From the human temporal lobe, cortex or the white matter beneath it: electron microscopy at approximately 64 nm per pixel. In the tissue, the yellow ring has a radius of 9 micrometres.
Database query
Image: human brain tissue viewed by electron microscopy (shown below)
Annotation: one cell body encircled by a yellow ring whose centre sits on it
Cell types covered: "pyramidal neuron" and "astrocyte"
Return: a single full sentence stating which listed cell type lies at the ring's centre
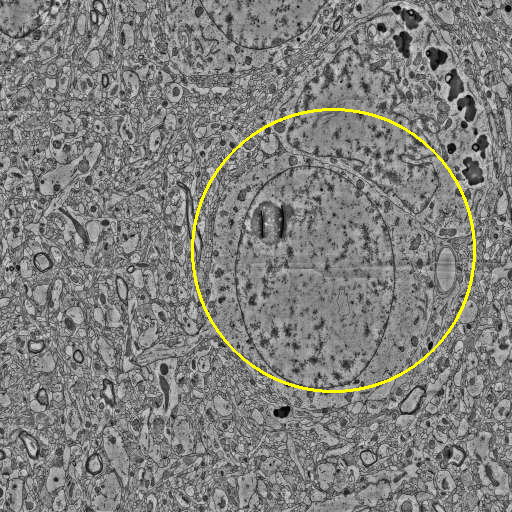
In the image, the cell lying at the ring's centre is a pyramidal neuron.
